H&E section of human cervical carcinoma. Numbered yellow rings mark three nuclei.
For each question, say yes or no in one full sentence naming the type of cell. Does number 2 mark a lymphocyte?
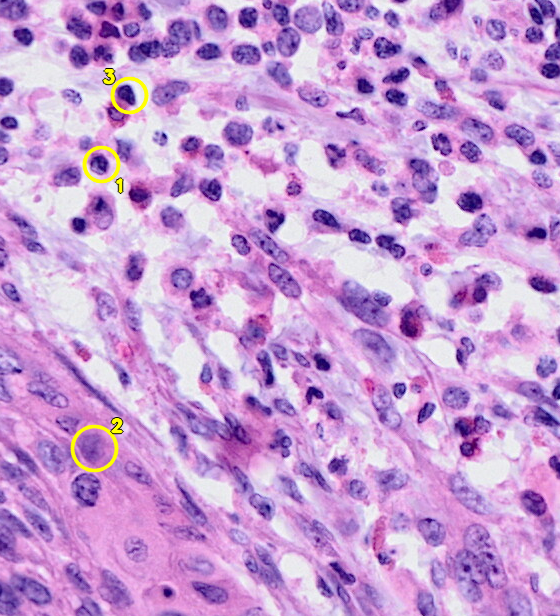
No, number 2 points to a squamous carcinoma cell and not to a lymphocyte.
